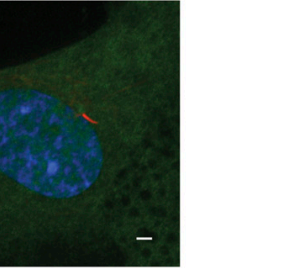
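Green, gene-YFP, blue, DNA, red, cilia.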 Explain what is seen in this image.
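A cultured cell is shown with an oval blue nucleus containing patchy chromatin. A single short red rod, the cilium, lies at the upper right edge of the nucleus.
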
